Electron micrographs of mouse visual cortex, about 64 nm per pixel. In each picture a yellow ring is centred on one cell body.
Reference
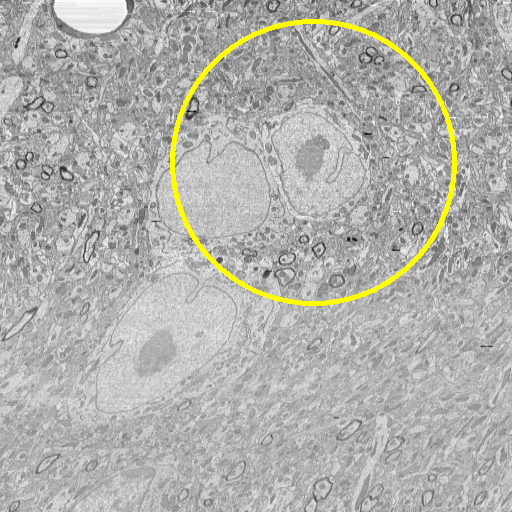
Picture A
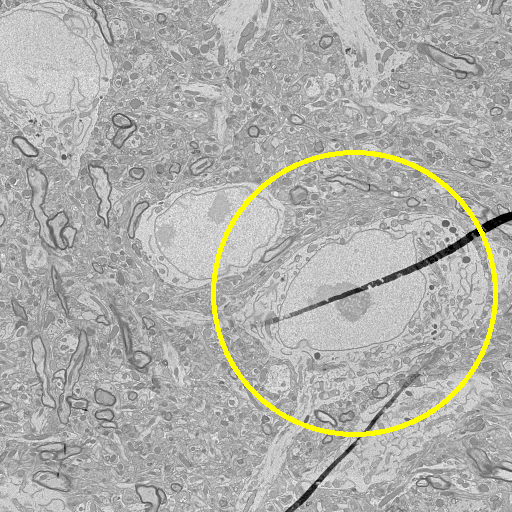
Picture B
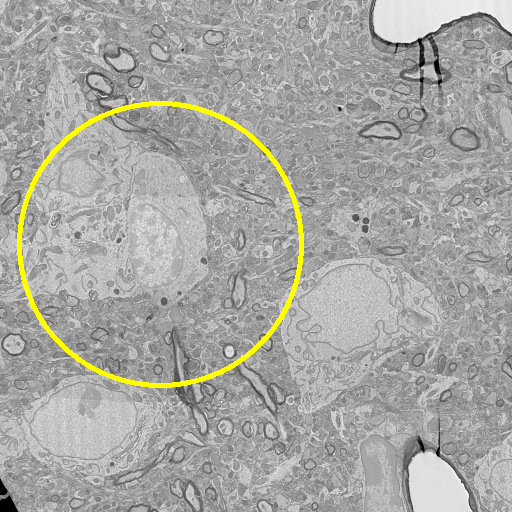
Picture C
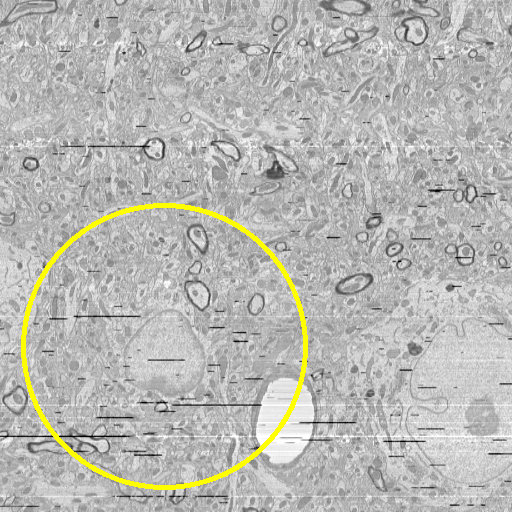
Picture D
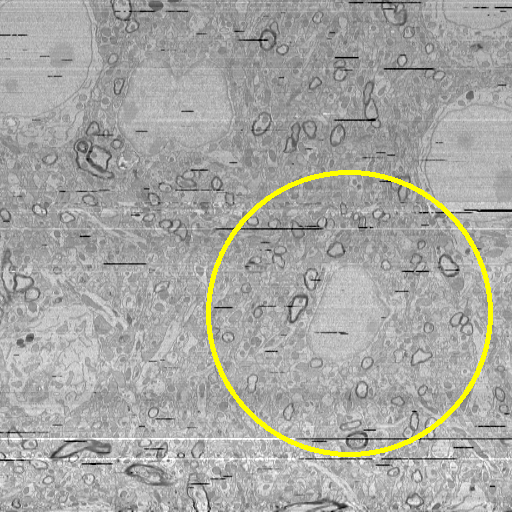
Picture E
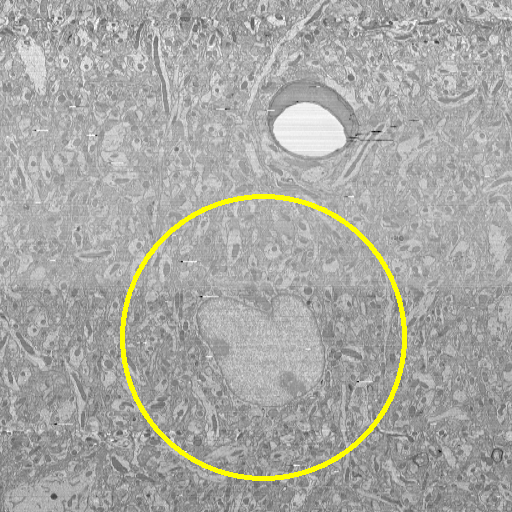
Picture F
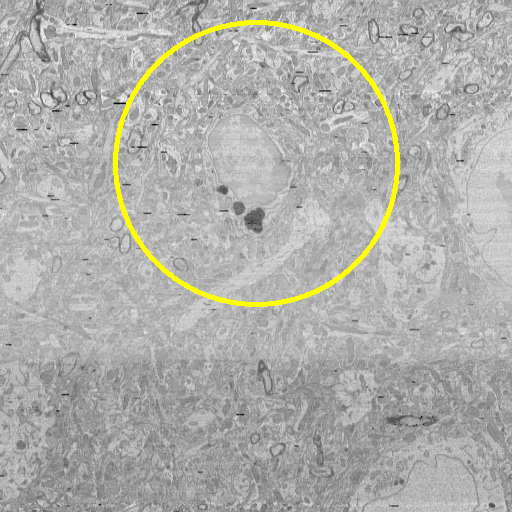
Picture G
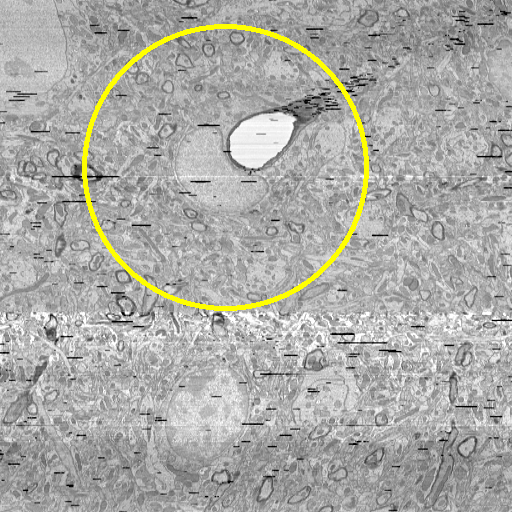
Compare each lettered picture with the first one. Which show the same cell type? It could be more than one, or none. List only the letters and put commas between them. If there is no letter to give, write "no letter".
A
